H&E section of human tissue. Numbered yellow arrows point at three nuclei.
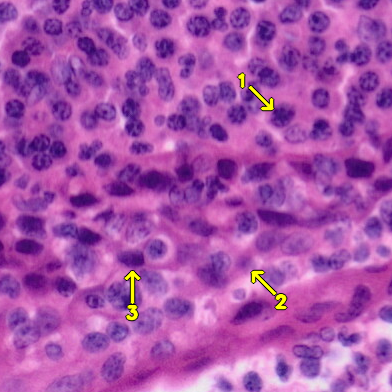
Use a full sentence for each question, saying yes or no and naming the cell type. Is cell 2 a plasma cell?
No, it is a squamous epithelial cell, rather than a plasma cell, that carries number 2.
